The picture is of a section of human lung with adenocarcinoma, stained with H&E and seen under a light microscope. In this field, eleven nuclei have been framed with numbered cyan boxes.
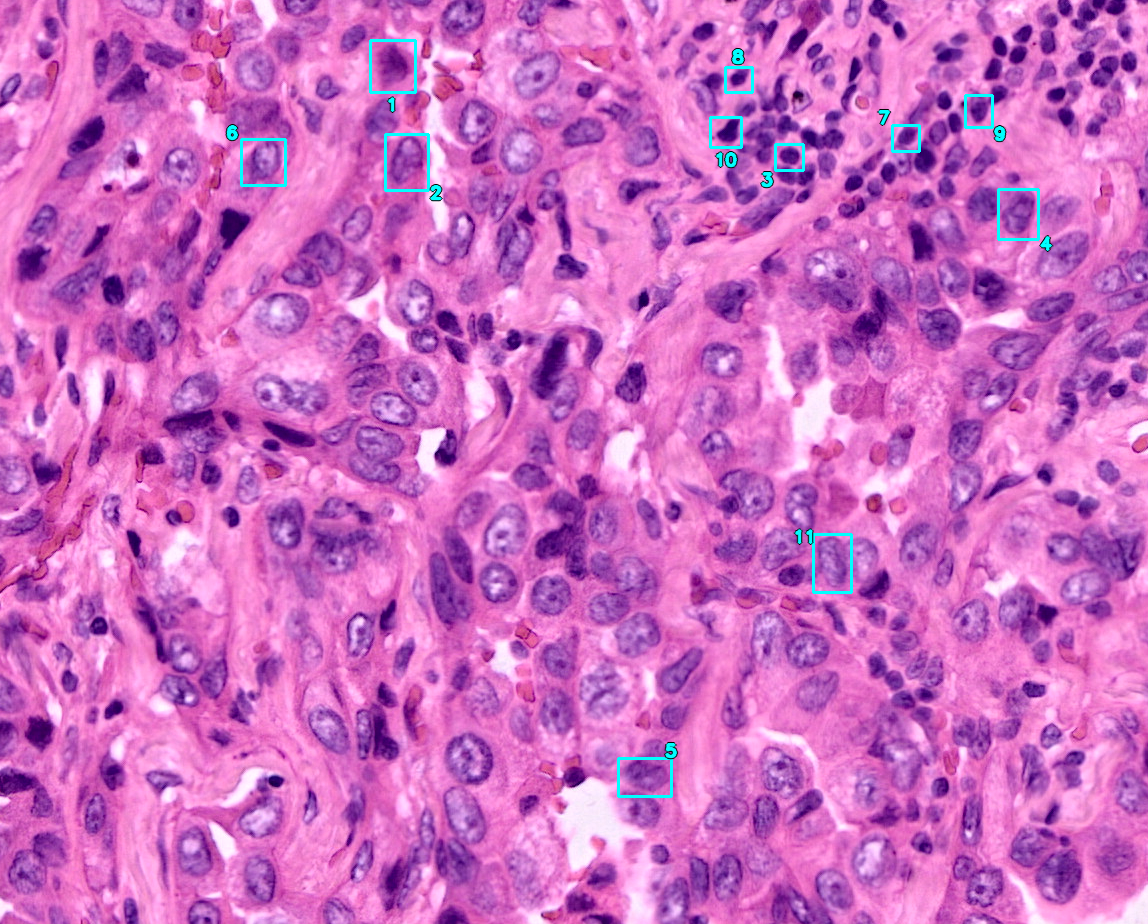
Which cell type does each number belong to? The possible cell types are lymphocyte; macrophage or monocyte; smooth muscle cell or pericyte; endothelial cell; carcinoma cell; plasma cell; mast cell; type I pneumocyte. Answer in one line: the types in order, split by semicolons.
carcinoma cell; carcinoma cell; lymphocyte; carcinoma cell; carcinoma cell; carcinoma cell; lymphocyte; lymphocyte; lymphocyte; lymphocyte; carcinoma cell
